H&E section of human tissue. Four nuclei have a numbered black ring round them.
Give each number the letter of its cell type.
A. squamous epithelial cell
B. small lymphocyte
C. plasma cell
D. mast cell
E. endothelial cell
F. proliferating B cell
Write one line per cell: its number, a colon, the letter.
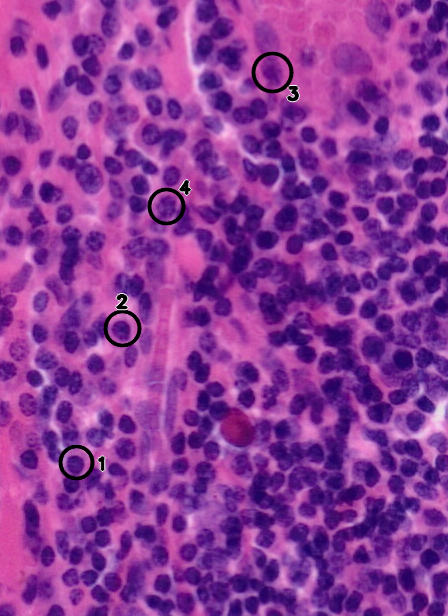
1: C
2: C
3: E
4: C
